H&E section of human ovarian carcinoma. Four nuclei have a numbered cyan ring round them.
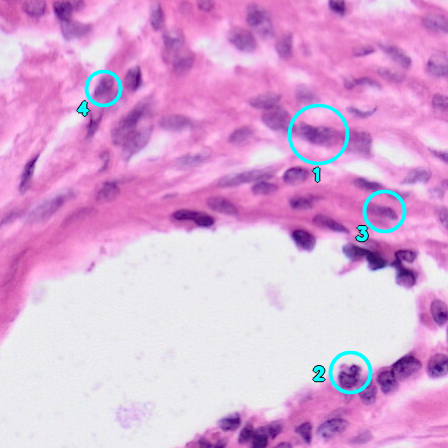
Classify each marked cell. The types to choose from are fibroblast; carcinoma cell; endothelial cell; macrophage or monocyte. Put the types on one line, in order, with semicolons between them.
fibroblast; macrophage or monocyte; fibroblast; fibroblast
